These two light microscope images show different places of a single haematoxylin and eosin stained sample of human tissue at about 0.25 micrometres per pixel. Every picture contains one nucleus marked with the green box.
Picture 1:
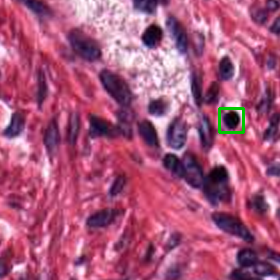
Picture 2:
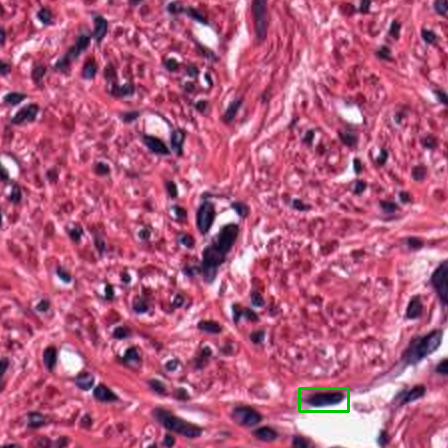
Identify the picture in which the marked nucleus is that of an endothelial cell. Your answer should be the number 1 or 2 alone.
2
